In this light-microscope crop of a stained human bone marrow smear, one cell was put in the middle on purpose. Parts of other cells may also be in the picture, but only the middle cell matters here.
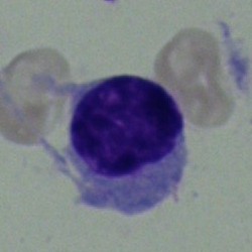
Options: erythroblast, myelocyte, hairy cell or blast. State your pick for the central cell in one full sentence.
Whatever else lies nearby, the middle cell is a hairy cell.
